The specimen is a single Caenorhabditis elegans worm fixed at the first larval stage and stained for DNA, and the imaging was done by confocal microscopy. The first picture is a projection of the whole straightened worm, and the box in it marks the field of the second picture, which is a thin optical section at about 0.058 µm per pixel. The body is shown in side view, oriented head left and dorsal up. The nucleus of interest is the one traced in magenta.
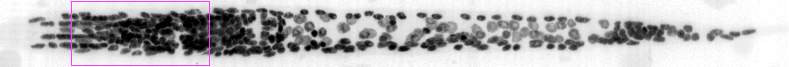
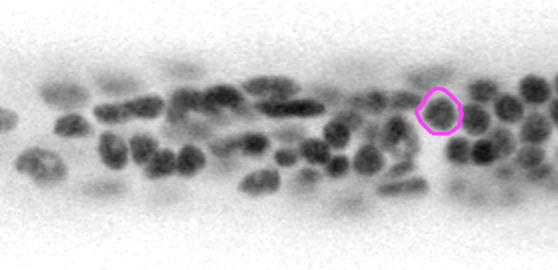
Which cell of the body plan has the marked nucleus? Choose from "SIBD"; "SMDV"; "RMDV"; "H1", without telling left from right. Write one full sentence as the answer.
The marked cell is RMDV, a neuron.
